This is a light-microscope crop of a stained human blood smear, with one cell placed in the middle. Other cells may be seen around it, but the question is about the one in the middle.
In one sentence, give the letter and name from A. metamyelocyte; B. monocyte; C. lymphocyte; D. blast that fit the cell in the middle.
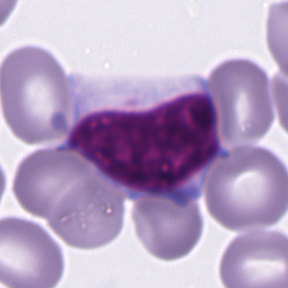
Option C is the right one, for the cell in the middle is a lymphocyte.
